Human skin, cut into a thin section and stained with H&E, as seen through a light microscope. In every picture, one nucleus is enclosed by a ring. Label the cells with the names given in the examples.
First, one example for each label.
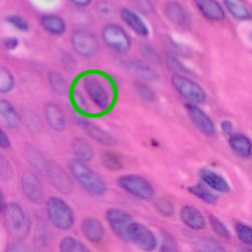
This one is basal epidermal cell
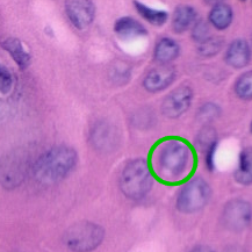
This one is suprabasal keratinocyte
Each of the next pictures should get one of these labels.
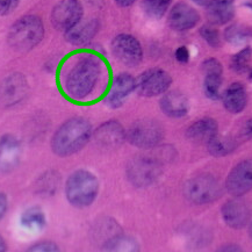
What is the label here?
suprabasal keratinocyte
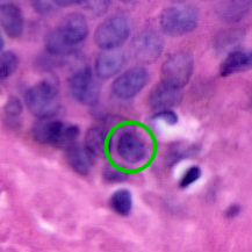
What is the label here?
basal epidermal cell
